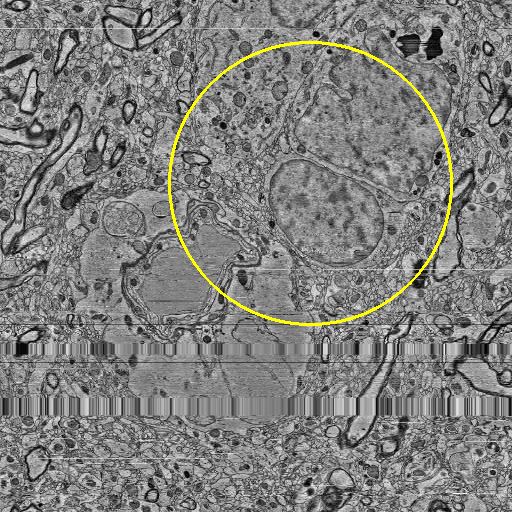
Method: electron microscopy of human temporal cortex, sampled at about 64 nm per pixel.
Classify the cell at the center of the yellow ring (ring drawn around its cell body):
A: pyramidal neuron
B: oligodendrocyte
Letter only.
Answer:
B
